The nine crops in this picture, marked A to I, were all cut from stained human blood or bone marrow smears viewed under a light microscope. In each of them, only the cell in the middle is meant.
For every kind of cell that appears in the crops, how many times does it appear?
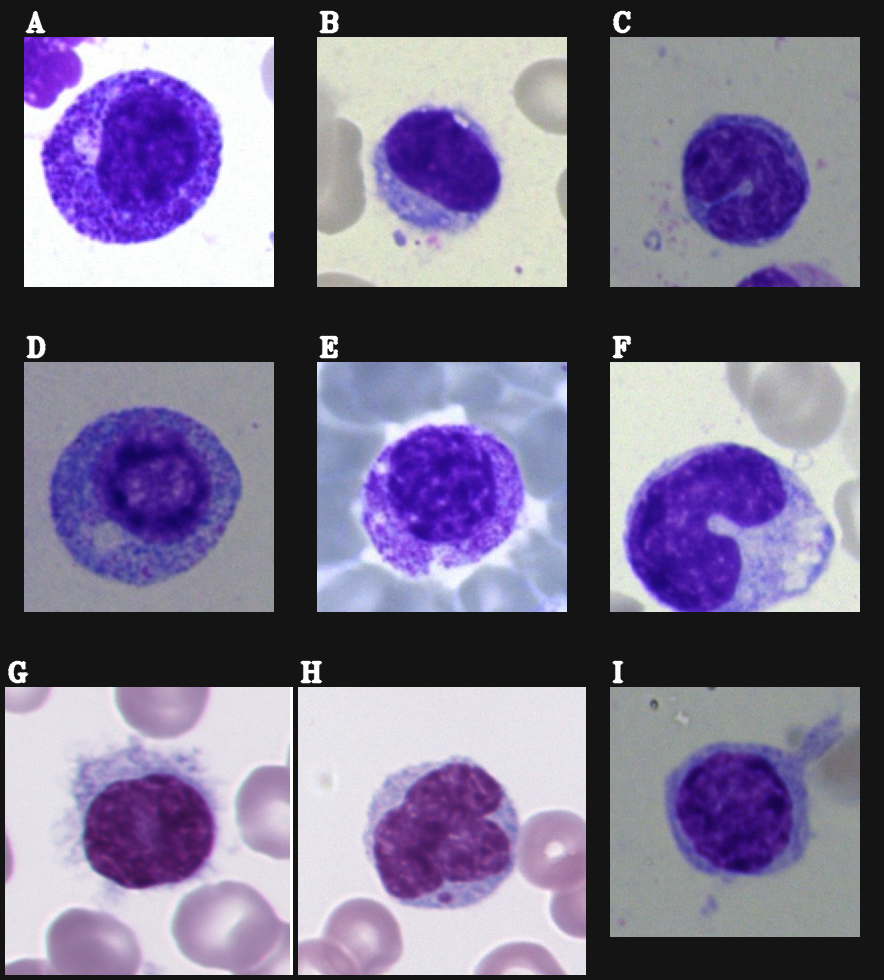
myelocyte: 3
hairy cell: 3
monocyte: 3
